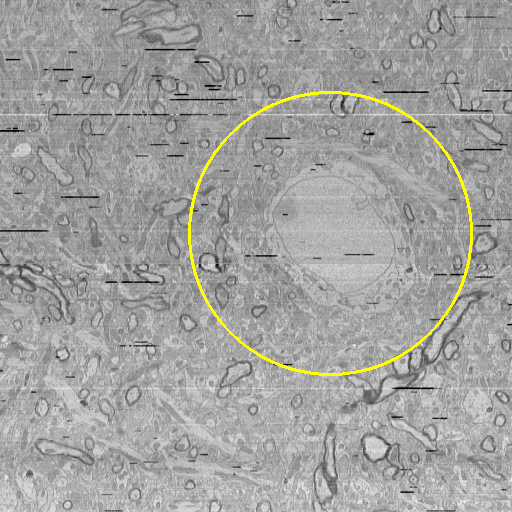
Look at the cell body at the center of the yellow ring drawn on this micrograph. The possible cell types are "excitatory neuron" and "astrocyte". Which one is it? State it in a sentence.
The cell in the middle of the ring is an excitatory neuron.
